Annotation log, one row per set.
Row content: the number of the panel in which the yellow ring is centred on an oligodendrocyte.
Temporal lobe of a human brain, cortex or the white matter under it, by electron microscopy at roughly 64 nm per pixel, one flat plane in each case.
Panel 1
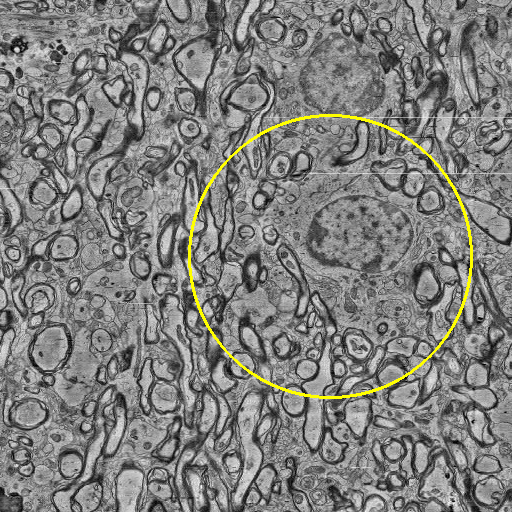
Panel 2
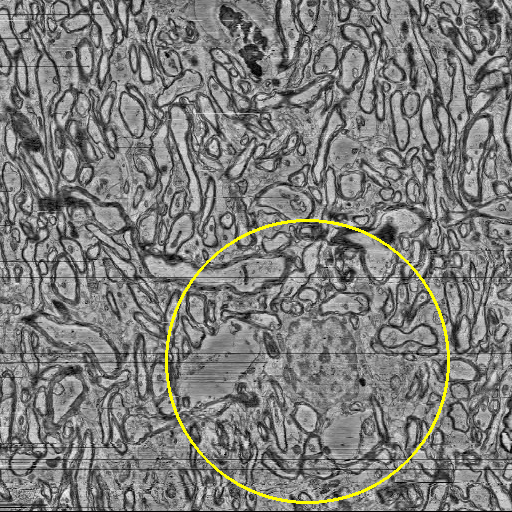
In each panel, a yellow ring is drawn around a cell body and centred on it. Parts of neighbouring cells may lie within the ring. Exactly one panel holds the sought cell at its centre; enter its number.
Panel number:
2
